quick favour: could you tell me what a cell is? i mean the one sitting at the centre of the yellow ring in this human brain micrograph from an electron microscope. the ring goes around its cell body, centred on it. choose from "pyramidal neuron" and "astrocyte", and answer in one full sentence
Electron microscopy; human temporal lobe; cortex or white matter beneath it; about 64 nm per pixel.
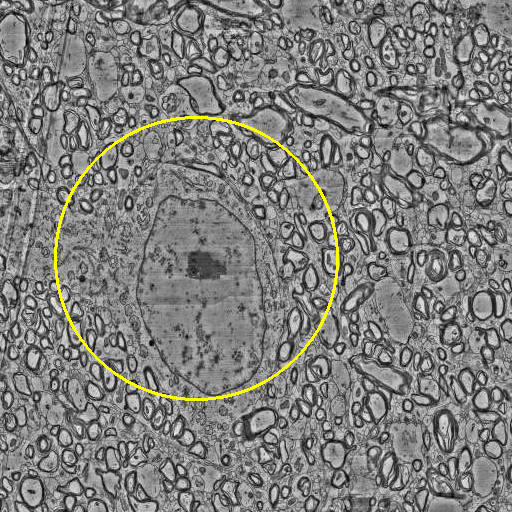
That's a pyramidal neuron, the cell sitting at the centre of the yellow ring.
